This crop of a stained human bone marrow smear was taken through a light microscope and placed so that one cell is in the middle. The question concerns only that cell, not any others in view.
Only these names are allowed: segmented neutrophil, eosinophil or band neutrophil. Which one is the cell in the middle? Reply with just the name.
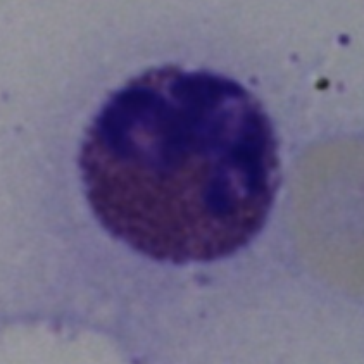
eosinophil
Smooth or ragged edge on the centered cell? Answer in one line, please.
Thanks for asking; the cell edge is smooth and has no projections.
